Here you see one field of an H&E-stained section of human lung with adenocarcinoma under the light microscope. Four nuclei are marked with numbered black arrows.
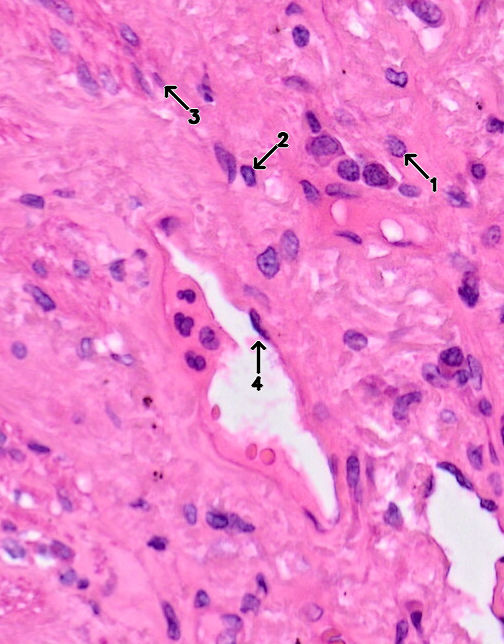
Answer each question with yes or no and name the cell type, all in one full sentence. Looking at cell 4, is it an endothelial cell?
Yes, number 4 in this section denotes an endothelial cell.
